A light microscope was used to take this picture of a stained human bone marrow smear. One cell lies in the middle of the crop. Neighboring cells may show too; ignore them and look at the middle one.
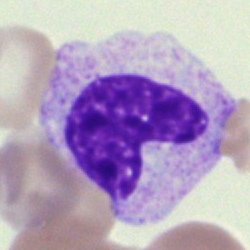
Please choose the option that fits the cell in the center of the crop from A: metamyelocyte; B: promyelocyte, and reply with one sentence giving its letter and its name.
The cell in the center of this crop is a metamyelocyte, so option A is the one to pick.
